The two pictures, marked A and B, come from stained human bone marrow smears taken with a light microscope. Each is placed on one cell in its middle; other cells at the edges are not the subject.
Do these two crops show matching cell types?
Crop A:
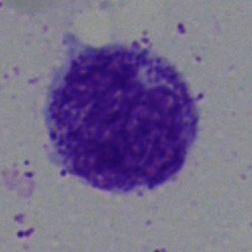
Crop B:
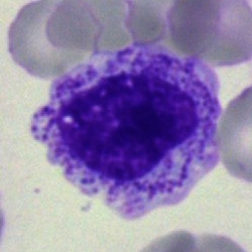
yes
